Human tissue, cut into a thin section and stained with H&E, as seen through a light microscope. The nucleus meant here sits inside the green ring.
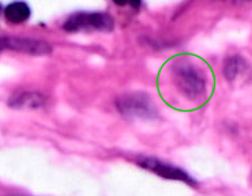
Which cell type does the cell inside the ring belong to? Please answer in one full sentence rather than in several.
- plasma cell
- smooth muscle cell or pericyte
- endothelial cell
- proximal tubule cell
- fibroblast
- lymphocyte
To be brief about it, the cell inside the ring is a fibroblast.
